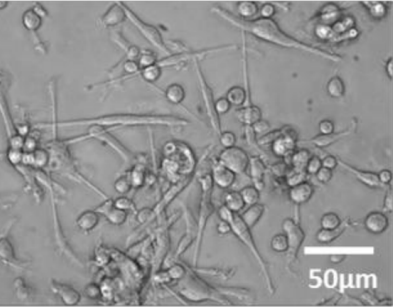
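Cells gather in loose clusters where rounded and spiky cells lie together, while long processes run between the clusters. Free space lies between the groups. The cells differ widely in size and form, unlike an even sheet of round cells.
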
